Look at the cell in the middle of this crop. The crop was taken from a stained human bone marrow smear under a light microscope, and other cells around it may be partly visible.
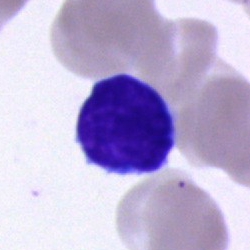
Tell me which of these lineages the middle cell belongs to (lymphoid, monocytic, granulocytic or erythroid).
lymphoid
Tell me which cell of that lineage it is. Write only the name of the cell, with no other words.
lymphocyte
